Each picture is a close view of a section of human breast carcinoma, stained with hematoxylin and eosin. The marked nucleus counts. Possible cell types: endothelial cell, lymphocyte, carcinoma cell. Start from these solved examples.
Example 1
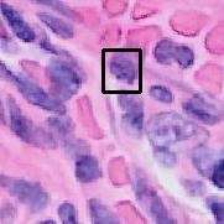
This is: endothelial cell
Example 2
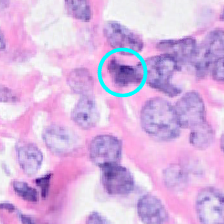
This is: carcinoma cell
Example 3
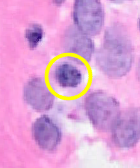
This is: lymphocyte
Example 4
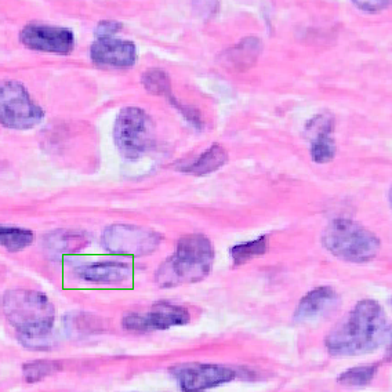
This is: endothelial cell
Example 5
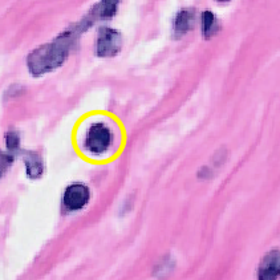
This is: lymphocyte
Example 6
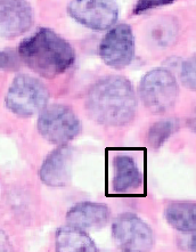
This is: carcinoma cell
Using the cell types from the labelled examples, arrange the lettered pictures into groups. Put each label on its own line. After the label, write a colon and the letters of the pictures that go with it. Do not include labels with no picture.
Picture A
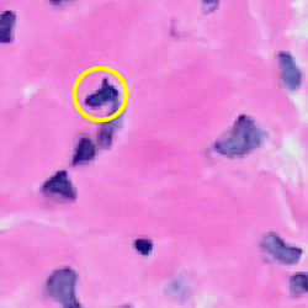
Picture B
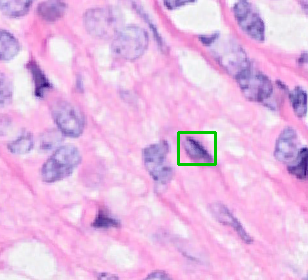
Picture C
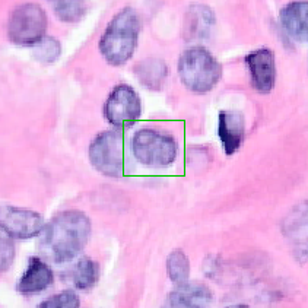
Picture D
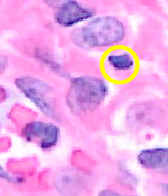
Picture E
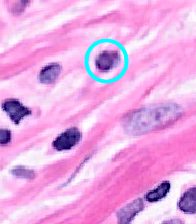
endothelial cell: B
lymphocyte: A, D, E
carcinoma cell: C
